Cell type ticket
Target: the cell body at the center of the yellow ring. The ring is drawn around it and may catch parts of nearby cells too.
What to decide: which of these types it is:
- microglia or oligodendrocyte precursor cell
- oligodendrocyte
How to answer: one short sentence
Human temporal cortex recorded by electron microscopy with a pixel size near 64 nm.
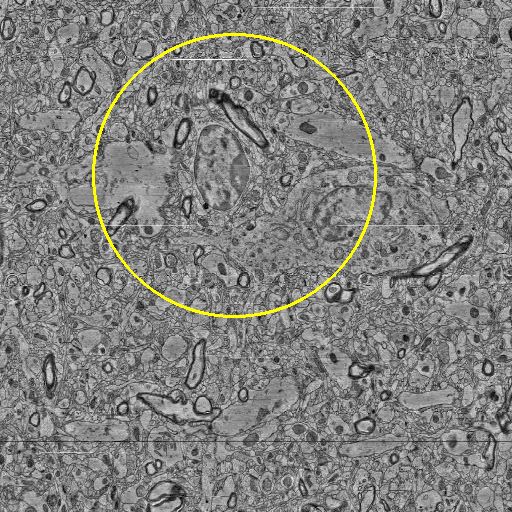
The cell at the center of the ring is a microglial cell or oligodendrocyte precursor cell.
